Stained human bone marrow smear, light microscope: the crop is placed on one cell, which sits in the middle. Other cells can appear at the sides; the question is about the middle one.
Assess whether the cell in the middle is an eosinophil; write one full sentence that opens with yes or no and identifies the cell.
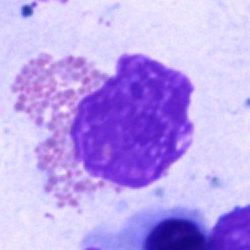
Yes, the identity of the central cell is that of an eosinophil.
